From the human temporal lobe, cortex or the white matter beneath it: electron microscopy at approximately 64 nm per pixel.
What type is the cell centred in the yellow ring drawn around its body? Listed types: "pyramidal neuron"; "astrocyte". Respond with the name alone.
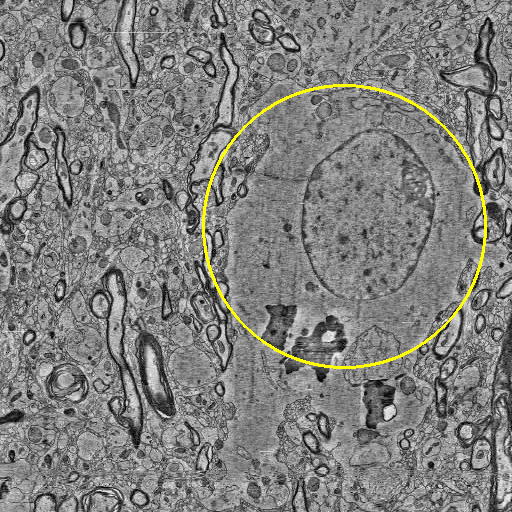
astrocyte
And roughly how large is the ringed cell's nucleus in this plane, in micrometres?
The nucleus is approximately 11 micrometers long by 8 micrometers wide in this plane.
